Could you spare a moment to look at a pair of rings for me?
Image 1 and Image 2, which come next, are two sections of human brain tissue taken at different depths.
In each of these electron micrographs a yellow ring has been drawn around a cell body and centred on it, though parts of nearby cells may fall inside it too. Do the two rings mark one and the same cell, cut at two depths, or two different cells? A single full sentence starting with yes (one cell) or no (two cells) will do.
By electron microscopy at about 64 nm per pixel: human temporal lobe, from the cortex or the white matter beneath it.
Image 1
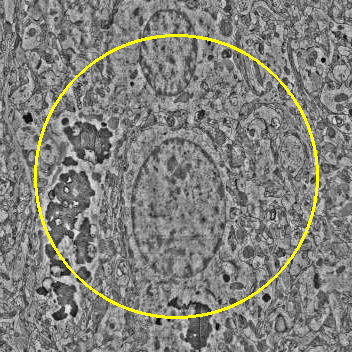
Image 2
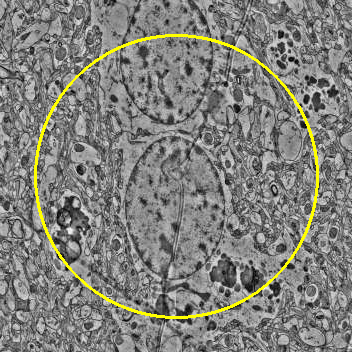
Yes, the two rings belong to one cell, not to two.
